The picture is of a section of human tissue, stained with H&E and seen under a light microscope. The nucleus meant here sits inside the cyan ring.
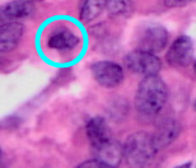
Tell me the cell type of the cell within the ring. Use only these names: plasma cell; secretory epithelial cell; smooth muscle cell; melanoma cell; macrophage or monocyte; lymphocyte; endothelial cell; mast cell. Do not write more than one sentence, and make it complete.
The cell type of the cell within the ring is that of a macrophage or monocyte.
